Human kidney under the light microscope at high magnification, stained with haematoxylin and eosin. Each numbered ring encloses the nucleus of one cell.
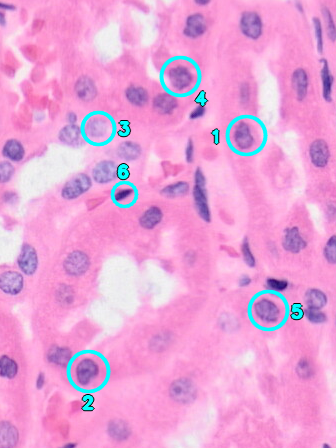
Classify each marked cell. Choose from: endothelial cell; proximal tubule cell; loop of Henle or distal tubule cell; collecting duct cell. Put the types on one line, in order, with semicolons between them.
proximal tubule cell; proximal tubule cell; collecting duct cell; proximal tubule cell; proximal tubule cell; endothelial cell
